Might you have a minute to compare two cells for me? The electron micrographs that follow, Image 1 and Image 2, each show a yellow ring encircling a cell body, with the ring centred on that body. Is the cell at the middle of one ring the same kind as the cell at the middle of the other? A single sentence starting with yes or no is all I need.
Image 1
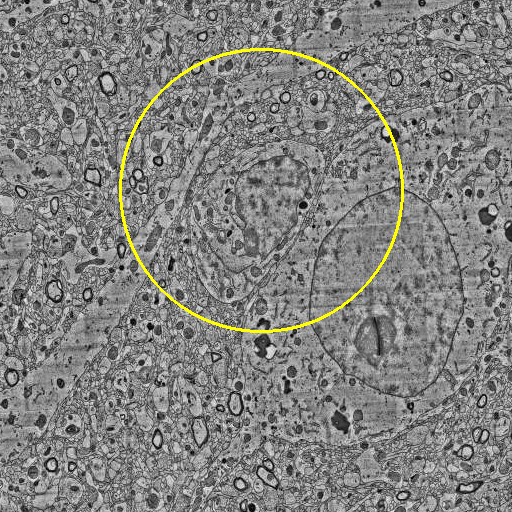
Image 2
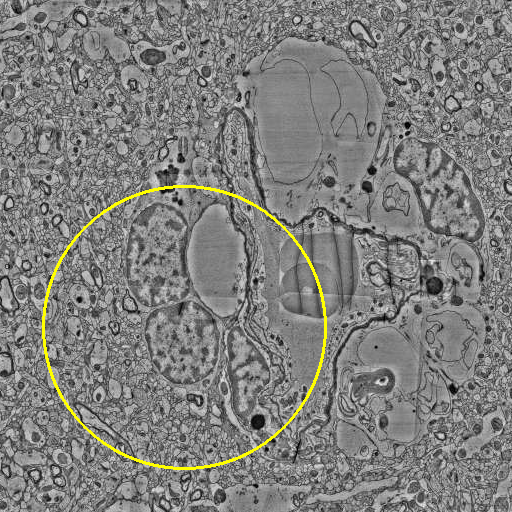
No, the cells in the middle of the two rings are of two separate kinds.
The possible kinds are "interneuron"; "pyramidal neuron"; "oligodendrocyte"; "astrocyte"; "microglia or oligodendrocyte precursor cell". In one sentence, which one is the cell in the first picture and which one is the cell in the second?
The cell ringed in the second picture is an oligodendrocyte, whereas the one ringed in the first is an interneuron.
